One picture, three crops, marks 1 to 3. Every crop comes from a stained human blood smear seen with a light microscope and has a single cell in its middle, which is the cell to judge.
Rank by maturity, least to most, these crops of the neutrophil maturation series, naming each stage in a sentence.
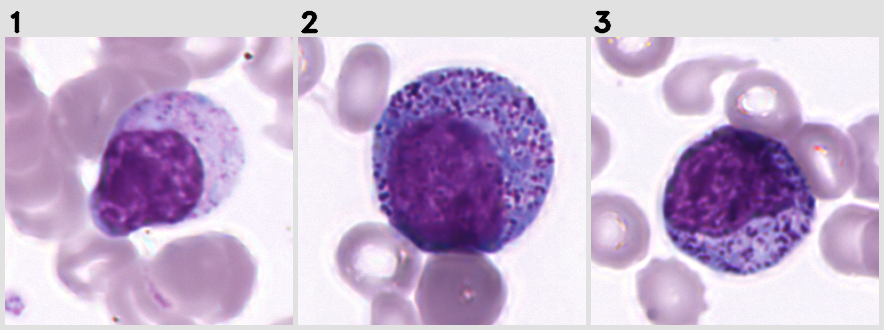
In terms of maturity, from lowest to highest, the order reads crop 2 (a promyelocyte), crop 3 (a myelocyte) and crop 1 (a metamyelocyte).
